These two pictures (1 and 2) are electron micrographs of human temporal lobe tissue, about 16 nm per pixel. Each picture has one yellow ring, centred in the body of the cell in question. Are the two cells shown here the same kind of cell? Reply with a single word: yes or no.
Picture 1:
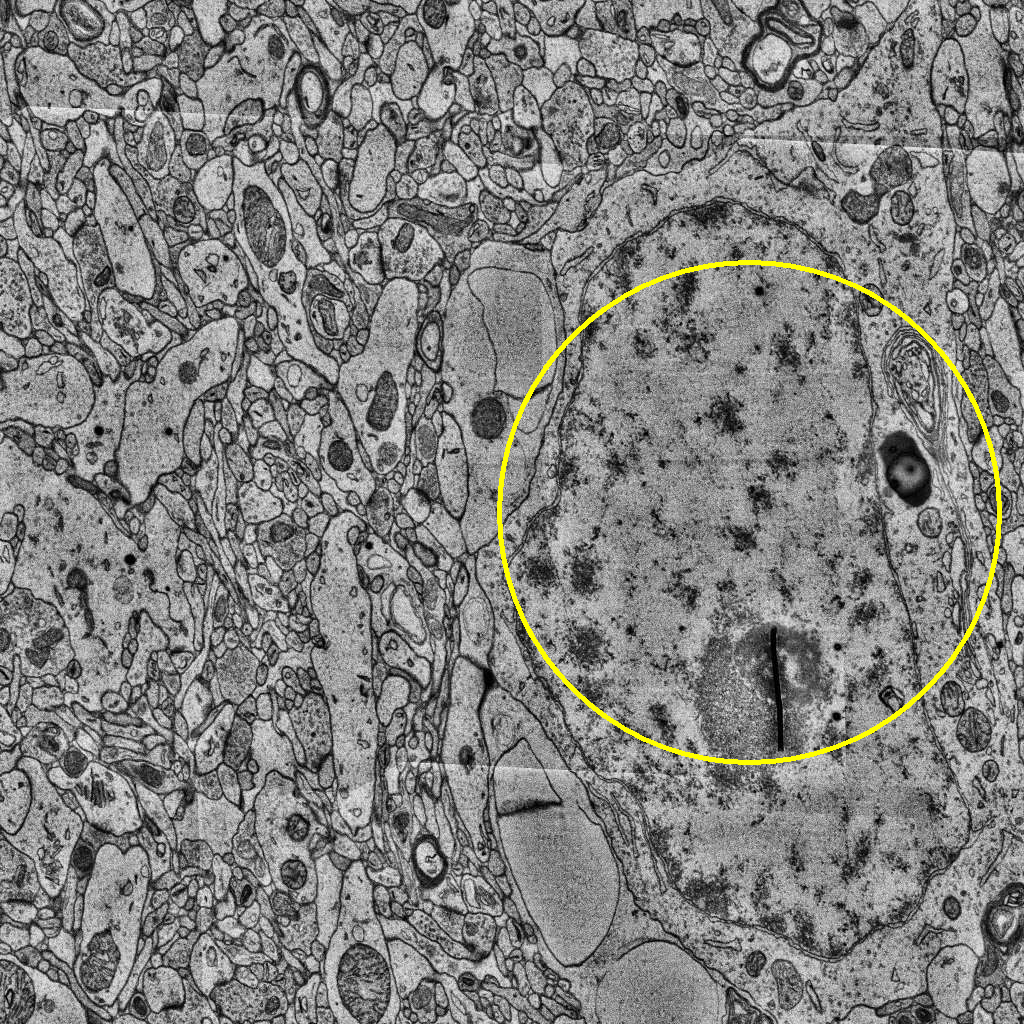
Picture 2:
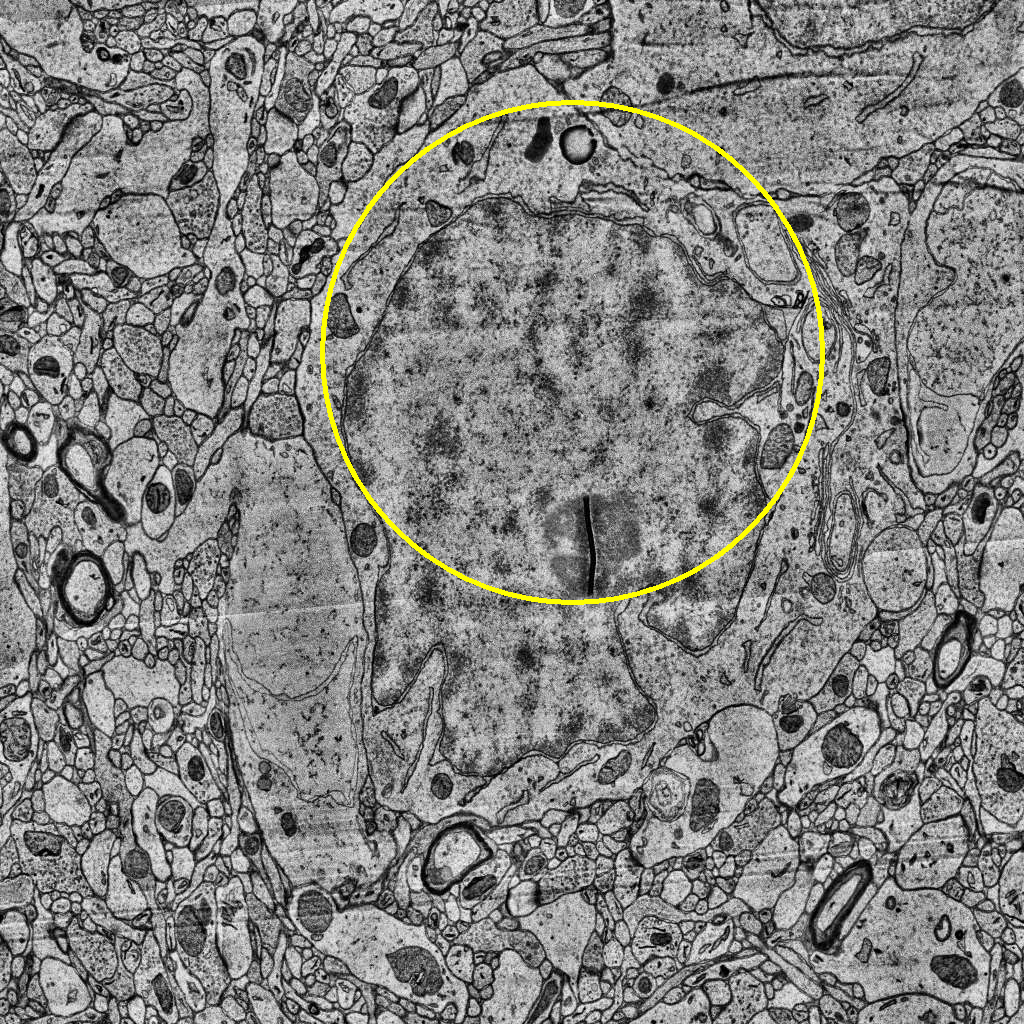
yes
